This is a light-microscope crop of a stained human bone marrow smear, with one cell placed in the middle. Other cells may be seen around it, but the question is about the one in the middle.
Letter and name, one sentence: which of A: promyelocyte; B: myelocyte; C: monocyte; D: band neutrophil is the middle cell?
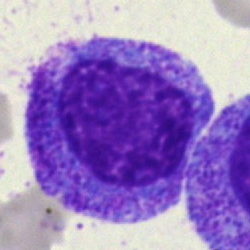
Here the central cell is a promyelocyte, and option A is correct.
